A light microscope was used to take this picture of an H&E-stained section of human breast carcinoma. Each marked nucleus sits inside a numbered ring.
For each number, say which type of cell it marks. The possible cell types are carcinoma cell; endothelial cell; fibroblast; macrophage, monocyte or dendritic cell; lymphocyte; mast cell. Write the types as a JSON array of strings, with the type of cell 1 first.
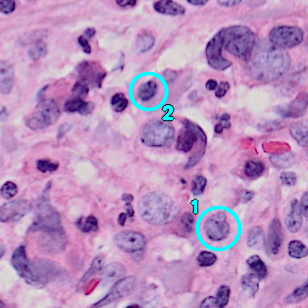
["macrophage, monocyte or dendritic cell", "lymphocyte"]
